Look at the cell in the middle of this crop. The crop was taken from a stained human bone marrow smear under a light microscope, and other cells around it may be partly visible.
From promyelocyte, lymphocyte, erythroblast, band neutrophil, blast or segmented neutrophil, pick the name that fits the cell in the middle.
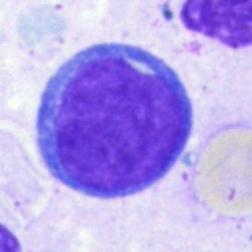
blast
